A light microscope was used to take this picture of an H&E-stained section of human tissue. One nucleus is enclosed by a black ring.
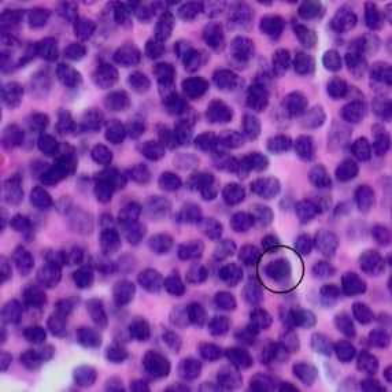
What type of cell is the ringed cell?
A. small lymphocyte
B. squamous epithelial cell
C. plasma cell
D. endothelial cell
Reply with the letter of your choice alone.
A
